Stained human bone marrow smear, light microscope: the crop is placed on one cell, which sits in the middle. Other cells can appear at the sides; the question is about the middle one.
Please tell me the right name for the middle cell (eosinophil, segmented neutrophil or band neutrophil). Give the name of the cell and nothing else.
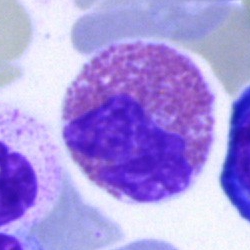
eosinophil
